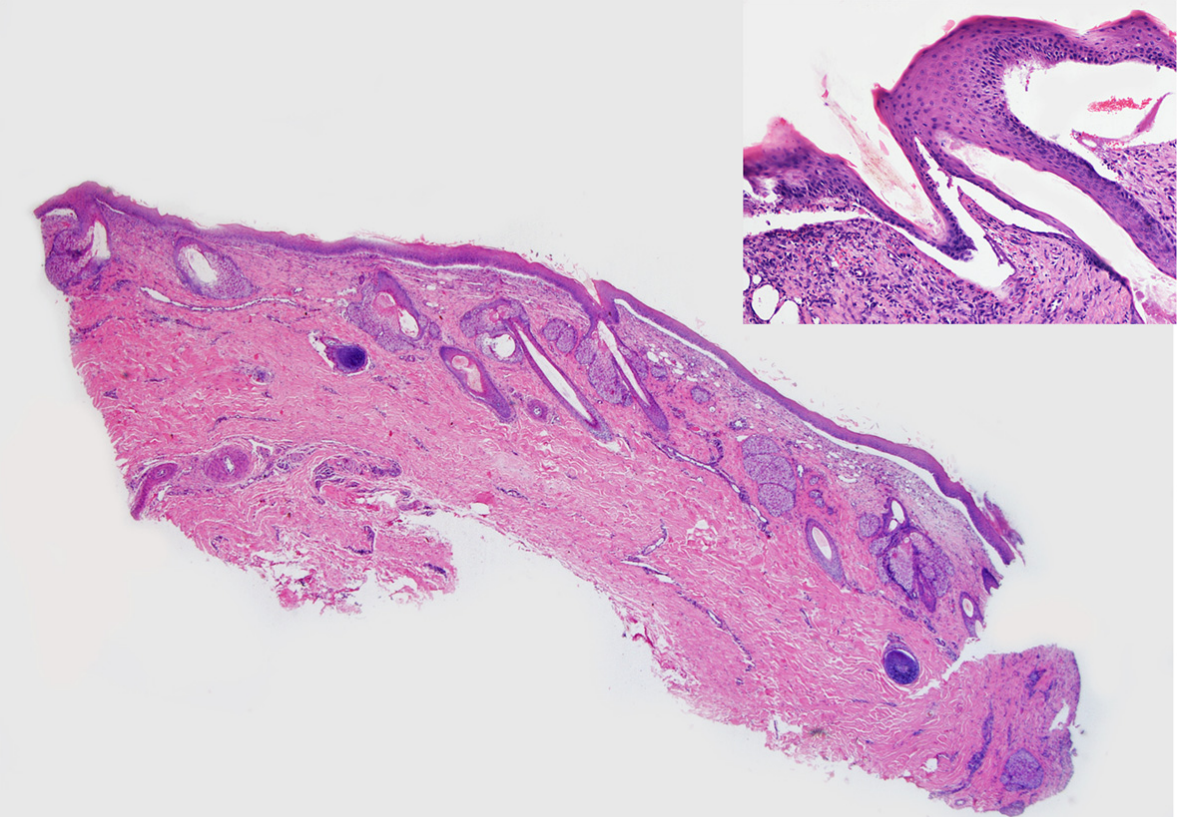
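This is a skin biopsy in which the thin epidermis has come away from the underlying dermis, leaving a clear, empty subepidermal cleft that runs along most of the surface. Below the split, the dermis is made of pale pink collagen bundles with hair follicles and lobules of sebaceous glands. There is no dense band of inflammatory cells beneath the cleft. The enlarged view in the corner shows that the separation follows the epidermis down into the upper part of a hair follicle, the infundibulum. The gap there contains a few red blood cells. The epithelium above the gap stays intact.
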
